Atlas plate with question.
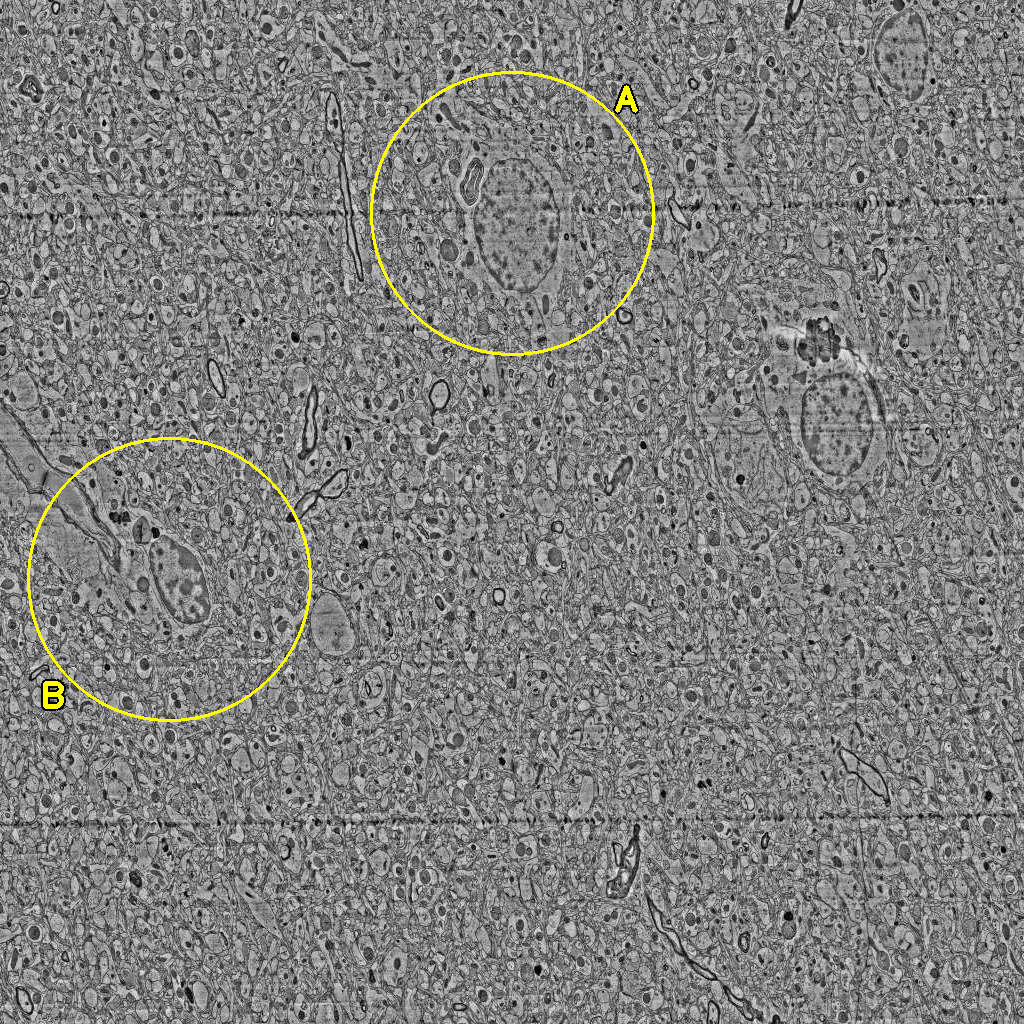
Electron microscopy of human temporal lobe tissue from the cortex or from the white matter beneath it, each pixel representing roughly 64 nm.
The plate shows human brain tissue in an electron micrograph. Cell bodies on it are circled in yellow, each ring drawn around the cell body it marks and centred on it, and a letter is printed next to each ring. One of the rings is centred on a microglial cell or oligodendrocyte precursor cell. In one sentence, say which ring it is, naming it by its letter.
It is ring B.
